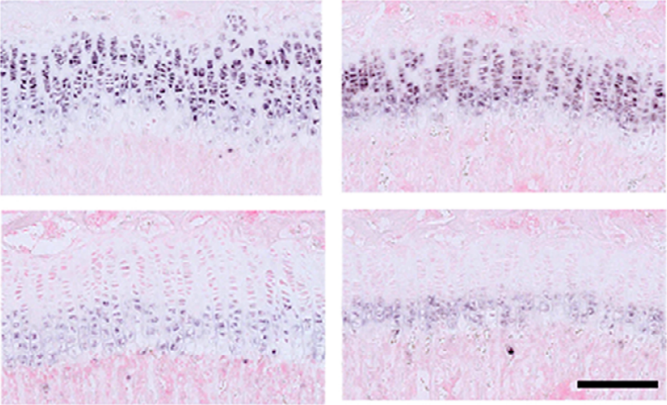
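These are four fields of growth plate cartilage in which chondrocytes are lined up in longitudinal columns within a pale matrix. In the upper row, a broad band of small, flattened chondrocytes stacked one on another carries a dark purple label. These are the resting and proliferating chondrocytes. In the lower row, the purple label is restricted to a narrower band at the bottom of the columns. The cells in this band are larger and rounder; they are the hypertrophic chondrocytes. Beneath the cartilage, a pink-stained region with a looser texture marks where the growth plate gives way to bone.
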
